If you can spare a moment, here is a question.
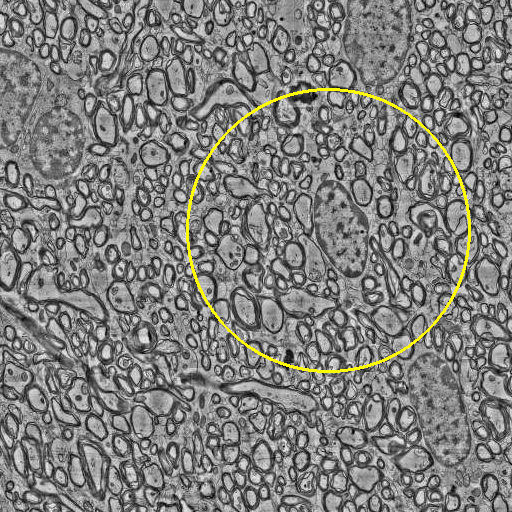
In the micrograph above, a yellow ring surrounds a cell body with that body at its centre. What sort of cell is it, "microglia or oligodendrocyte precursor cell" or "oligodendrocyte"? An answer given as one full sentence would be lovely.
Centred inside the yellow ring, the cell body shown belongs to a microglial cell or oligodendrocyte precursor cell in this micrograph.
